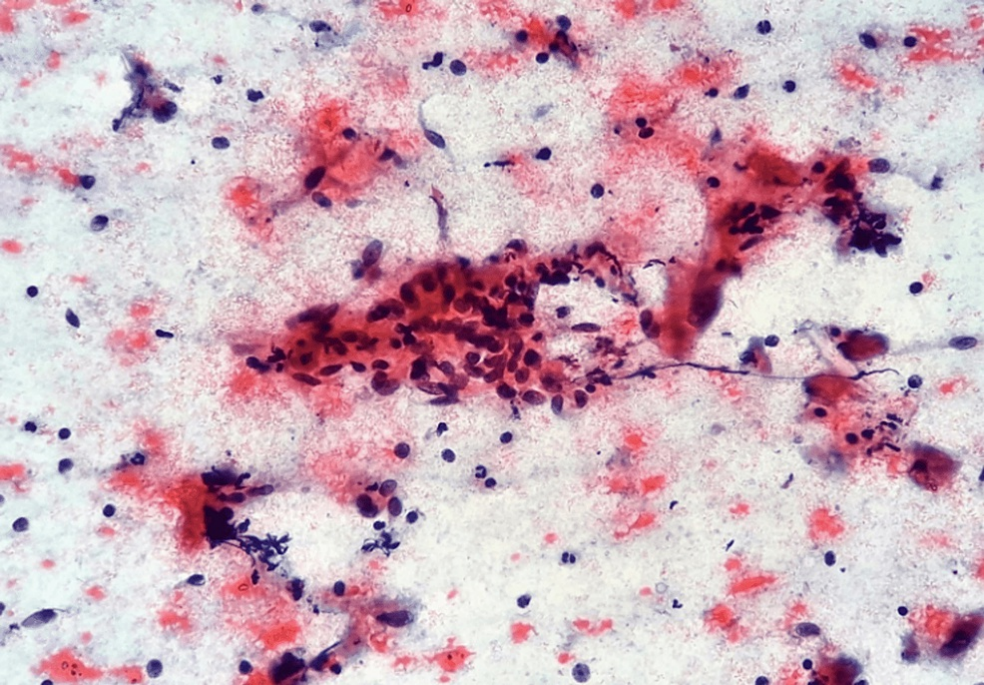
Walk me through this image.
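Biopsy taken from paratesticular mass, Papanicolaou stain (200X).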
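Cytology smear with a central cohesive cluster of spindle cells whose oval to elongated, dark-staining nuclei sit in orange-red cytoplasm, with smaller cell groups and single elongated cells around it. Numerous small round dark inflammatory cells with scant cytoplasm are scattered singly across a pale background that also holds patchy orange-red material.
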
